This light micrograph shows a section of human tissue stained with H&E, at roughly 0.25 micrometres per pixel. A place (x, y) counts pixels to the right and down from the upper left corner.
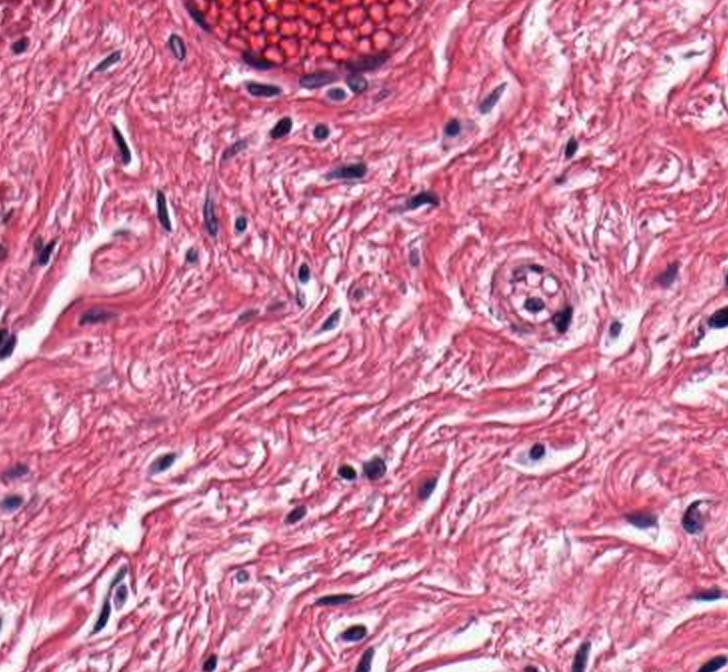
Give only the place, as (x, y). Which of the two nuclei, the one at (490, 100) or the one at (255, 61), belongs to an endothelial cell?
(255, 61)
